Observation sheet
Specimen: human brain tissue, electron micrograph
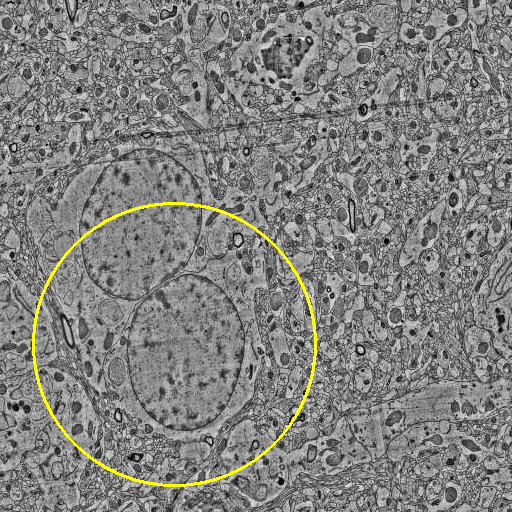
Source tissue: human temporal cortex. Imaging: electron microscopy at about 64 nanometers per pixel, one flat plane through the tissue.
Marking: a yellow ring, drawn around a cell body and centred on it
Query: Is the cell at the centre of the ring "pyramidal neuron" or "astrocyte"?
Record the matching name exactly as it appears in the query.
astrocyte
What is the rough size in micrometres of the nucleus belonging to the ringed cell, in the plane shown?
Approximately 10 x 7 micrometres in this plane.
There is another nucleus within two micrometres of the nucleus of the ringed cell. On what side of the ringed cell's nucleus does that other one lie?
The other nucleus can be seen above it.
